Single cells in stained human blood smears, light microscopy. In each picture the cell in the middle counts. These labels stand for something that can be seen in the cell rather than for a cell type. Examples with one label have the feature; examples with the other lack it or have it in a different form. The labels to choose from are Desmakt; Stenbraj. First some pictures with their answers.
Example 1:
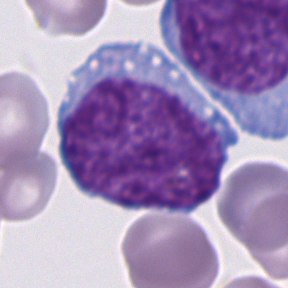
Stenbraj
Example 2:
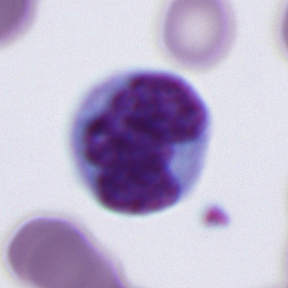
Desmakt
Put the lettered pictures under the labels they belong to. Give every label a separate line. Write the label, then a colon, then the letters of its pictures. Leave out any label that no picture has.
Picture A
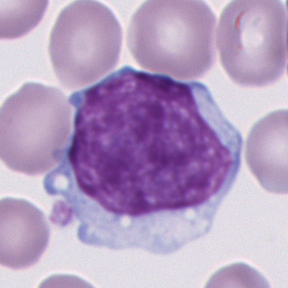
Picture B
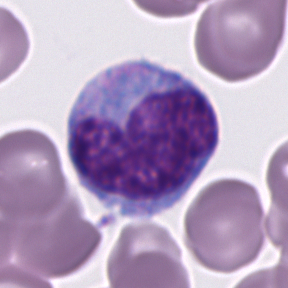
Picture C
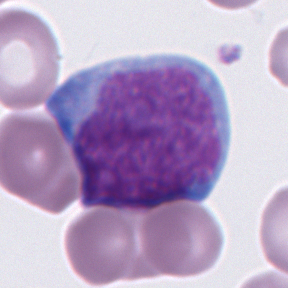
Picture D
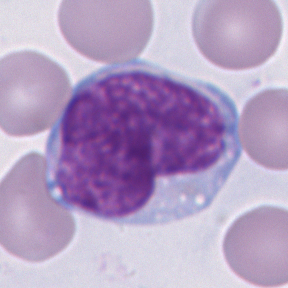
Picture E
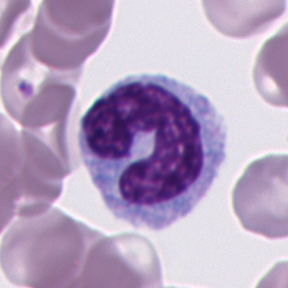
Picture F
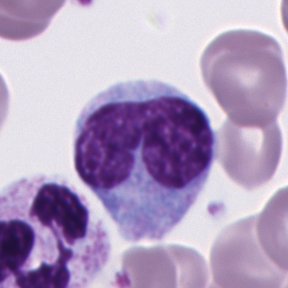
Desmakt: B, C, E, F
Stenbraj: A, D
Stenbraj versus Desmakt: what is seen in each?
Seen in Stenbraj: vacuoles present; seen in Desmakt: no vacuoles.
